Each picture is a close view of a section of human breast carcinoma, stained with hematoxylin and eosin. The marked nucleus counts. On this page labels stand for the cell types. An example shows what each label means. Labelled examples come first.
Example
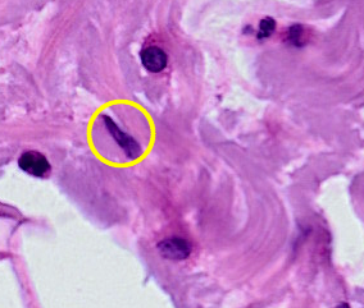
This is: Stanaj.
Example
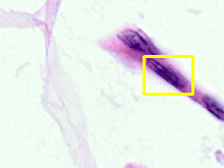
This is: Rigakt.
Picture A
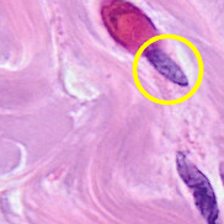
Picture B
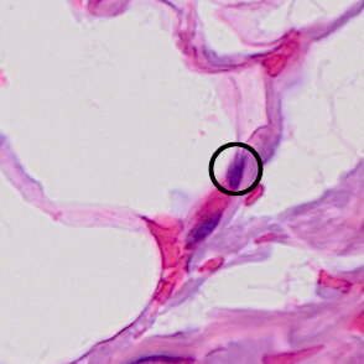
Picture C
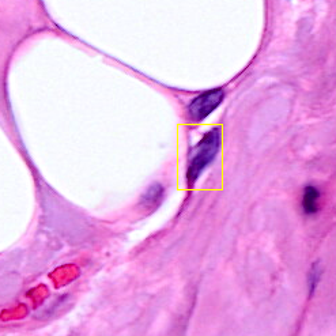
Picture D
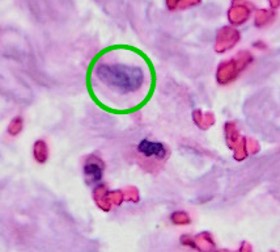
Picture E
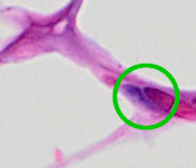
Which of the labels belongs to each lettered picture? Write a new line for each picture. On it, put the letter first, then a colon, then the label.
A: Stanaj.
B: Rigakt.
C: Stanaj.
D: Stanaj.
E: Rigakt.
